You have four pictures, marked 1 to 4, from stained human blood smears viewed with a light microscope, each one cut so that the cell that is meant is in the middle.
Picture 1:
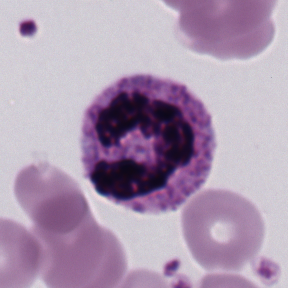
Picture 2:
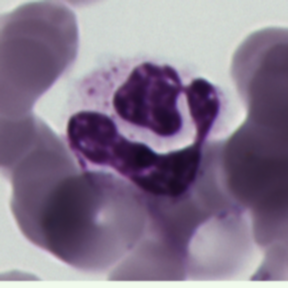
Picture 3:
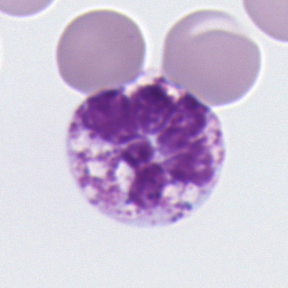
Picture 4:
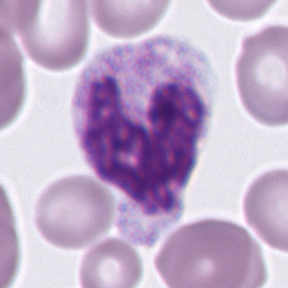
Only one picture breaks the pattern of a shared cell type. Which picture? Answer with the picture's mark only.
3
